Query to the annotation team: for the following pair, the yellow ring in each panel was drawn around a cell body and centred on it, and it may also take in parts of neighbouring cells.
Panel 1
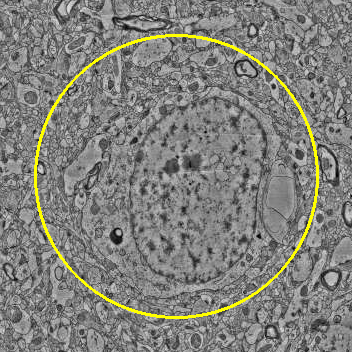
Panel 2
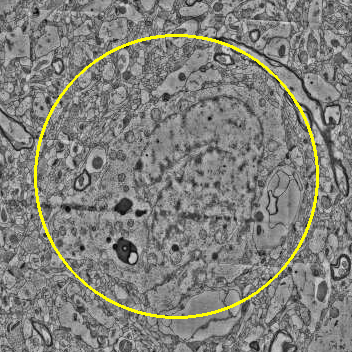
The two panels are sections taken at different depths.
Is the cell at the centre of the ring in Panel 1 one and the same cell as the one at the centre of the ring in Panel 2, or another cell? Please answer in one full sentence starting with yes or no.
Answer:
Yes, a single cell lies behind both yellow marks.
